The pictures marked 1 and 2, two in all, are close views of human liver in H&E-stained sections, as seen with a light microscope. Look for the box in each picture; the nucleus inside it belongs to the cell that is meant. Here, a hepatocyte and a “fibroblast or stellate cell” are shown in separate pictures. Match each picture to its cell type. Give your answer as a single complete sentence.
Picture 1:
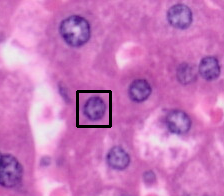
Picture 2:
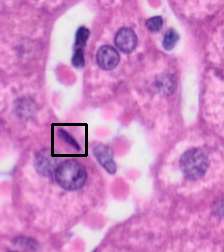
Picture 1 is of a hepatocyte, and picture 2 is of a “fibroblast or stellate cell”.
